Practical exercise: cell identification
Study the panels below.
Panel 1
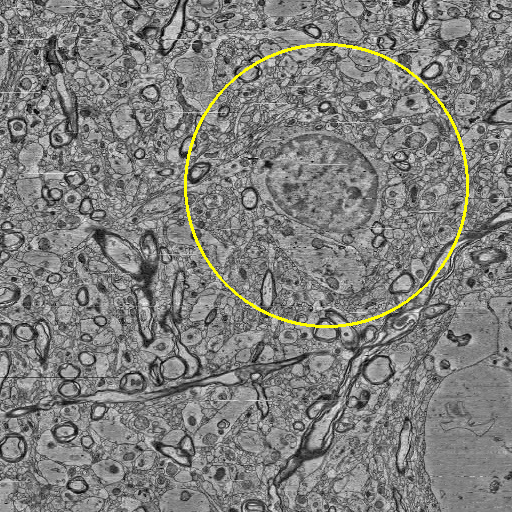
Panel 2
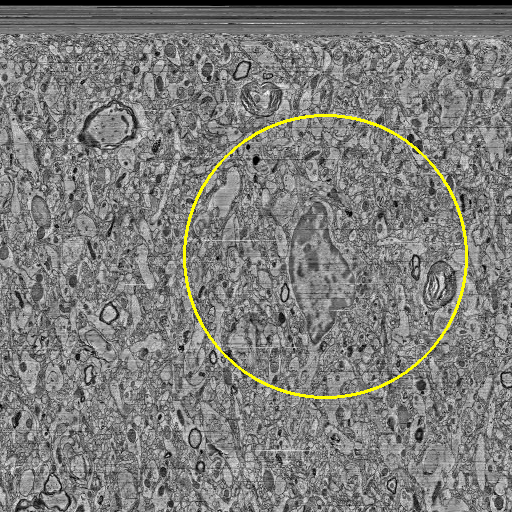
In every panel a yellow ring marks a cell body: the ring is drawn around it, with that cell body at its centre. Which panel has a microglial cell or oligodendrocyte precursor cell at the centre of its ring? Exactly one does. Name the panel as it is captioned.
Panel 2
